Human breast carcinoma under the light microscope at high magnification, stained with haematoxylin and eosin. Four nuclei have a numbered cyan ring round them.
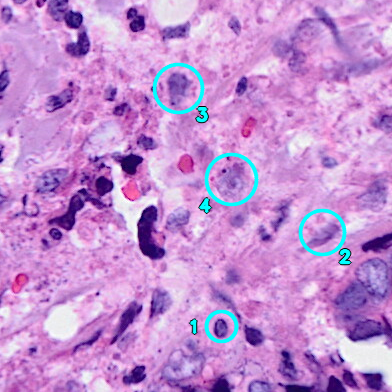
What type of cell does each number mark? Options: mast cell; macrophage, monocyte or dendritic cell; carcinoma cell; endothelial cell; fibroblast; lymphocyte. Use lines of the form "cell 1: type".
cell 1: mast cell
cell 2: fibroblast
cell 3: macrophage, monocyte or dendritic cell
cell 4: fibroblast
